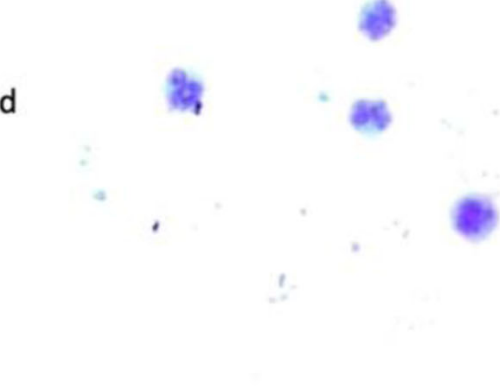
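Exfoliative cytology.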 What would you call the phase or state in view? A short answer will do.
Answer: Diestrous stage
